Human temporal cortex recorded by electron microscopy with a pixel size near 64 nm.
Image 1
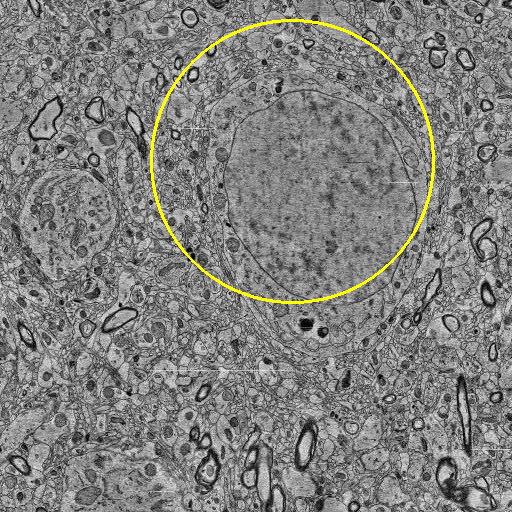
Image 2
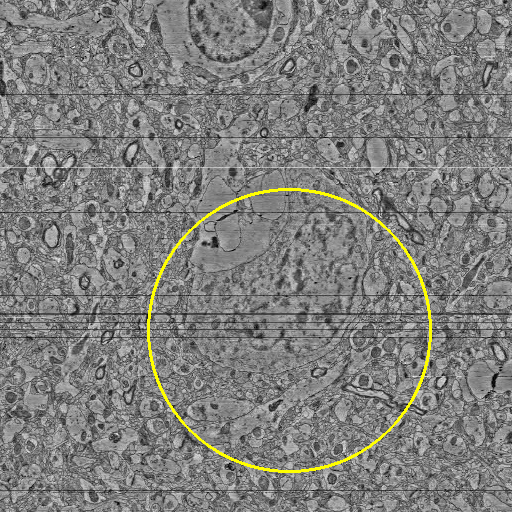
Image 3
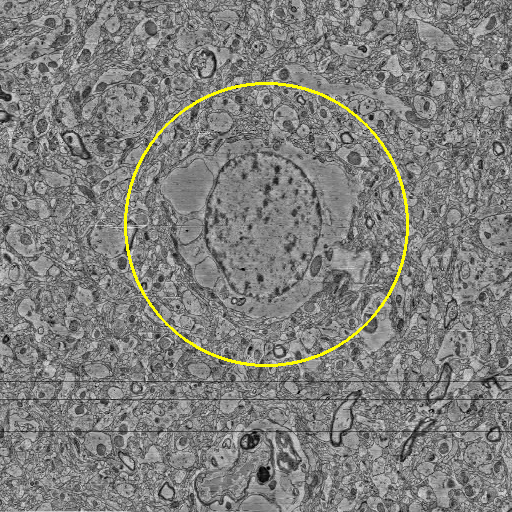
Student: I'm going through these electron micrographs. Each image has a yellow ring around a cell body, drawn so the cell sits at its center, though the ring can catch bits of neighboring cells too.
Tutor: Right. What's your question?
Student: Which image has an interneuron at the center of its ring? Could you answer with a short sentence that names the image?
Image 2 shows it at the center of its ring.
